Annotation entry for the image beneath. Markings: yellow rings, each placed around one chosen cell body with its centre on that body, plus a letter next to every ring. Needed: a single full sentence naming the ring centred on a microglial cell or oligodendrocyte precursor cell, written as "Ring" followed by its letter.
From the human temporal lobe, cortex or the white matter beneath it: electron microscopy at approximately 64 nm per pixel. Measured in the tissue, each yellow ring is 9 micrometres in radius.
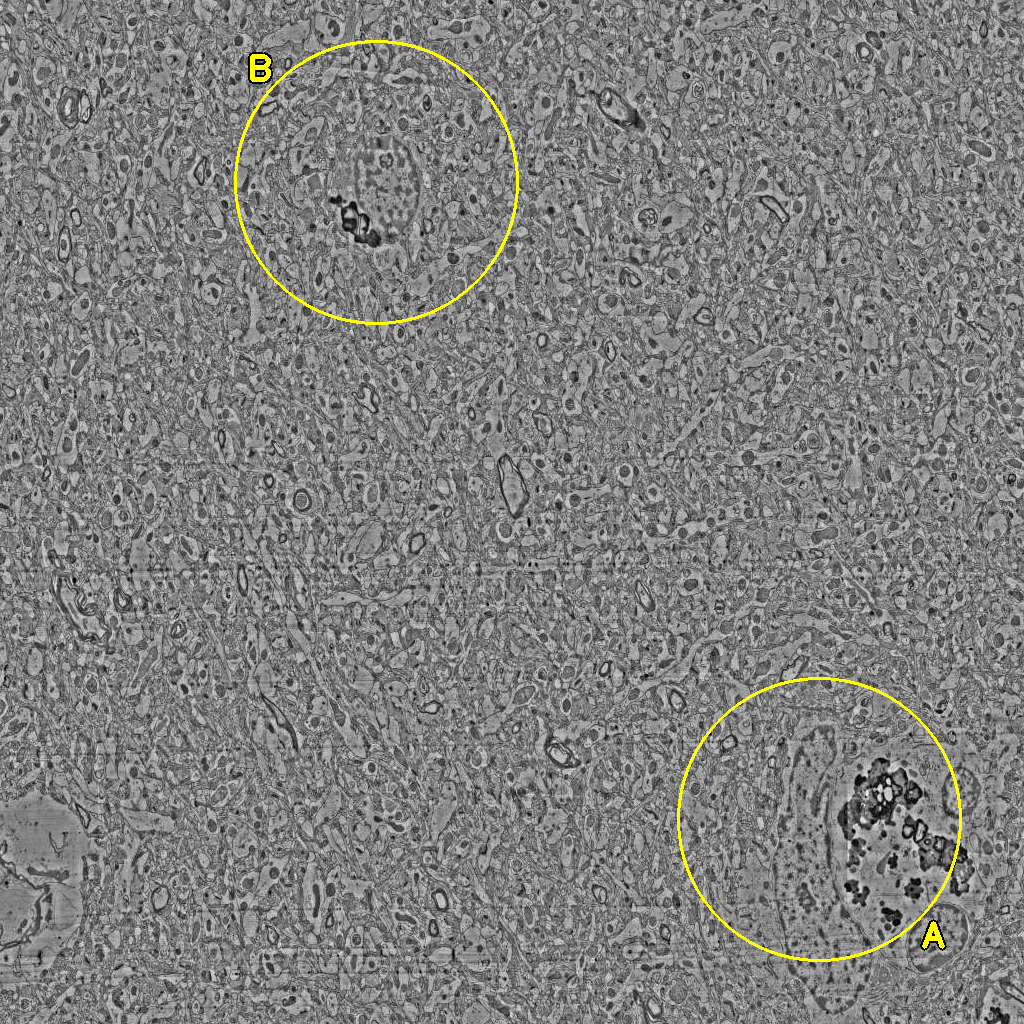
The image shows the cell in question at the centre of Ring A.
